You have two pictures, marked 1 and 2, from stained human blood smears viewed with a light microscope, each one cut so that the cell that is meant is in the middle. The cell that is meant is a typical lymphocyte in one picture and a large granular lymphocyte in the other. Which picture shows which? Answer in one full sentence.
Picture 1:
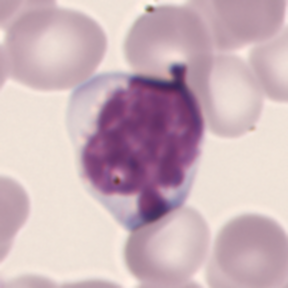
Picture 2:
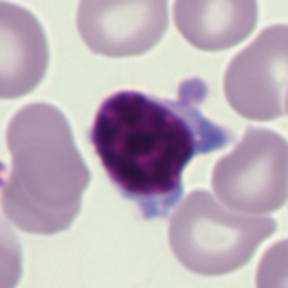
In picture 1 the cell is a large granular lymphocyte; in picture 2, a typical lymphocyte.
